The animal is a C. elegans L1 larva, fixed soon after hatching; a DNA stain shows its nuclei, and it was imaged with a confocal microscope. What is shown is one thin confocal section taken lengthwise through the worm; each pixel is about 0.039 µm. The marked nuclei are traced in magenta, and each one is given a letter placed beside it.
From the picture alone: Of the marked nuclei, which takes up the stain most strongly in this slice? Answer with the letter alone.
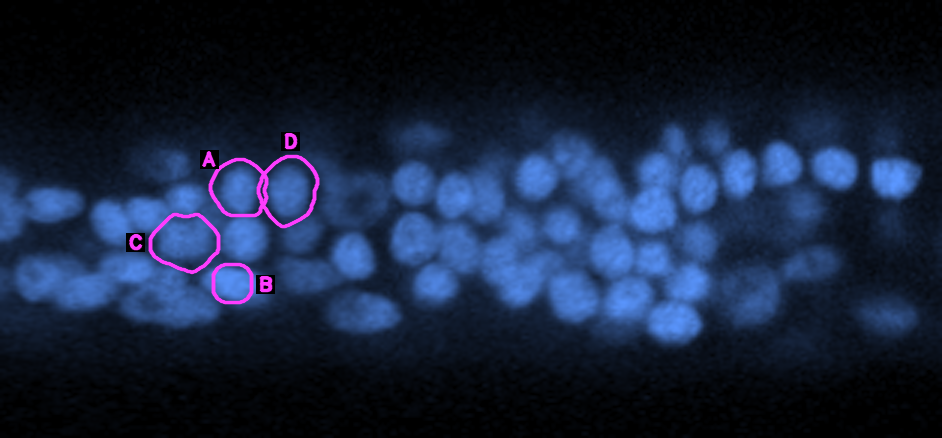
B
